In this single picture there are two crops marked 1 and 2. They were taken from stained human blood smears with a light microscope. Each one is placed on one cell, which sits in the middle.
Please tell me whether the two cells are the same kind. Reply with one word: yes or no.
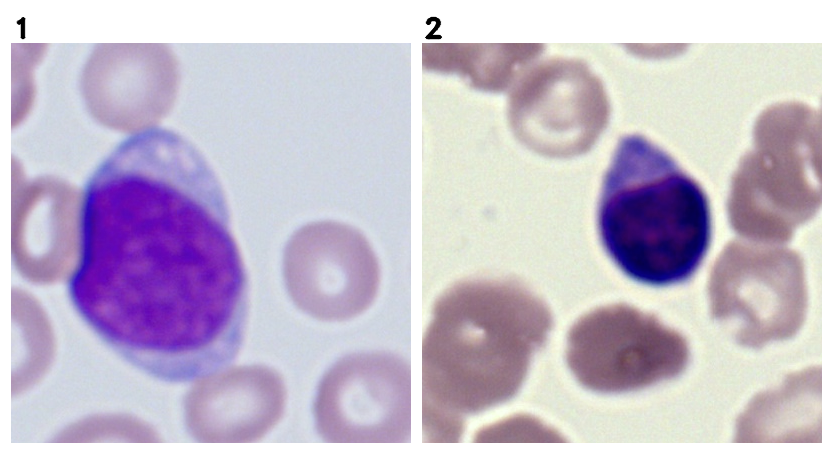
no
